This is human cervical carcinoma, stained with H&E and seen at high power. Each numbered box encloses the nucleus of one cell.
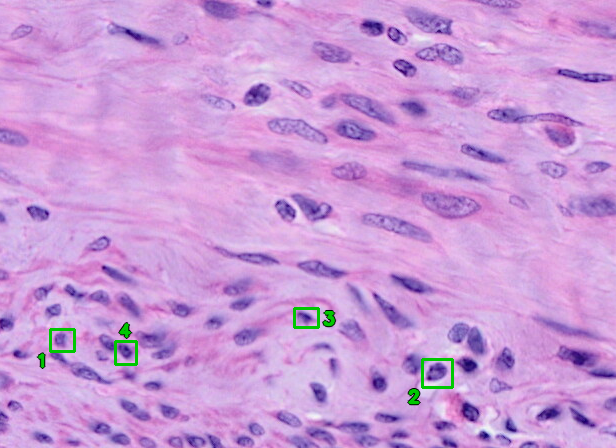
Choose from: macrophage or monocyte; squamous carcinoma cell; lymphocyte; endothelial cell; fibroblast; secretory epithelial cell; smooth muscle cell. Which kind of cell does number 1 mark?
smooth muscle cell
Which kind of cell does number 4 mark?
smooth muscle cell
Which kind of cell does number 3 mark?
smooth muscle cell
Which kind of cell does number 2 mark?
lymphocyte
